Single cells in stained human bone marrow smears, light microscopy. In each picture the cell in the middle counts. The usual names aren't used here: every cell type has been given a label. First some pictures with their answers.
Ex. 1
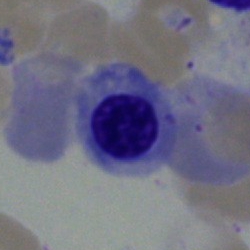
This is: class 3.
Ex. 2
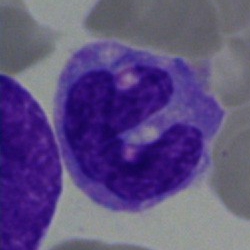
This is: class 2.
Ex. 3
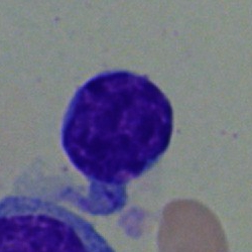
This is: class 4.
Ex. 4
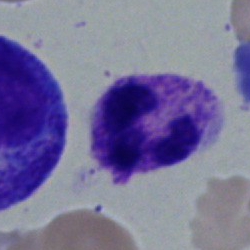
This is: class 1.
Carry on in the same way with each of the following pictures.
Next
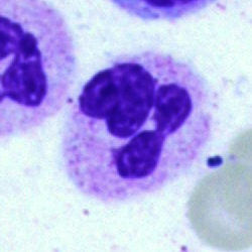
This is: class 1.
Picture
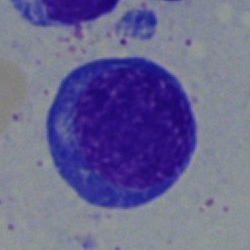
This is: class 3.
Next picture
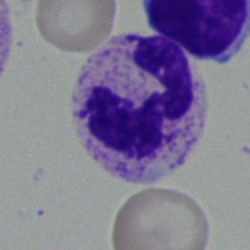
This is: class 1.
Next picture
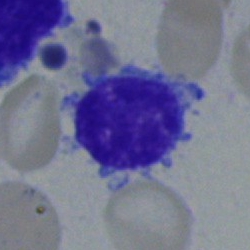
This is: class 4.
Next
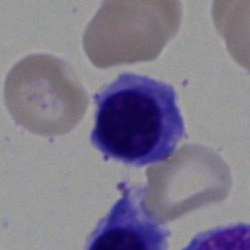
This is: class 3.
